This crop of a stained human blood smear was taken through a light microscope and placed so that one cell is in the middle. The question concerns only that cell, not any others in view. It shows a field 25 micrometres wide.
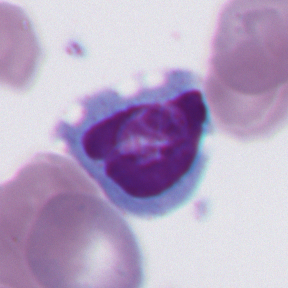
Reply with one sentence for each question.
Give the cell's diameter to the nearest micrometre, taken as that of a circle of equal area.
The diameter of the cell comes to about 12 micrometres.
